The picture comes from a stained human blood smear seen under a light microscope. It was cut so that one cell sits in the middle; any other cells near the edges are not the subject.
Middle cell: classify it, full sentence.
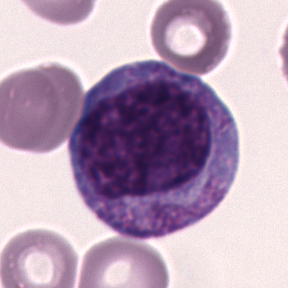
In the middle of this smear crop is an atypical promyelocyte.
